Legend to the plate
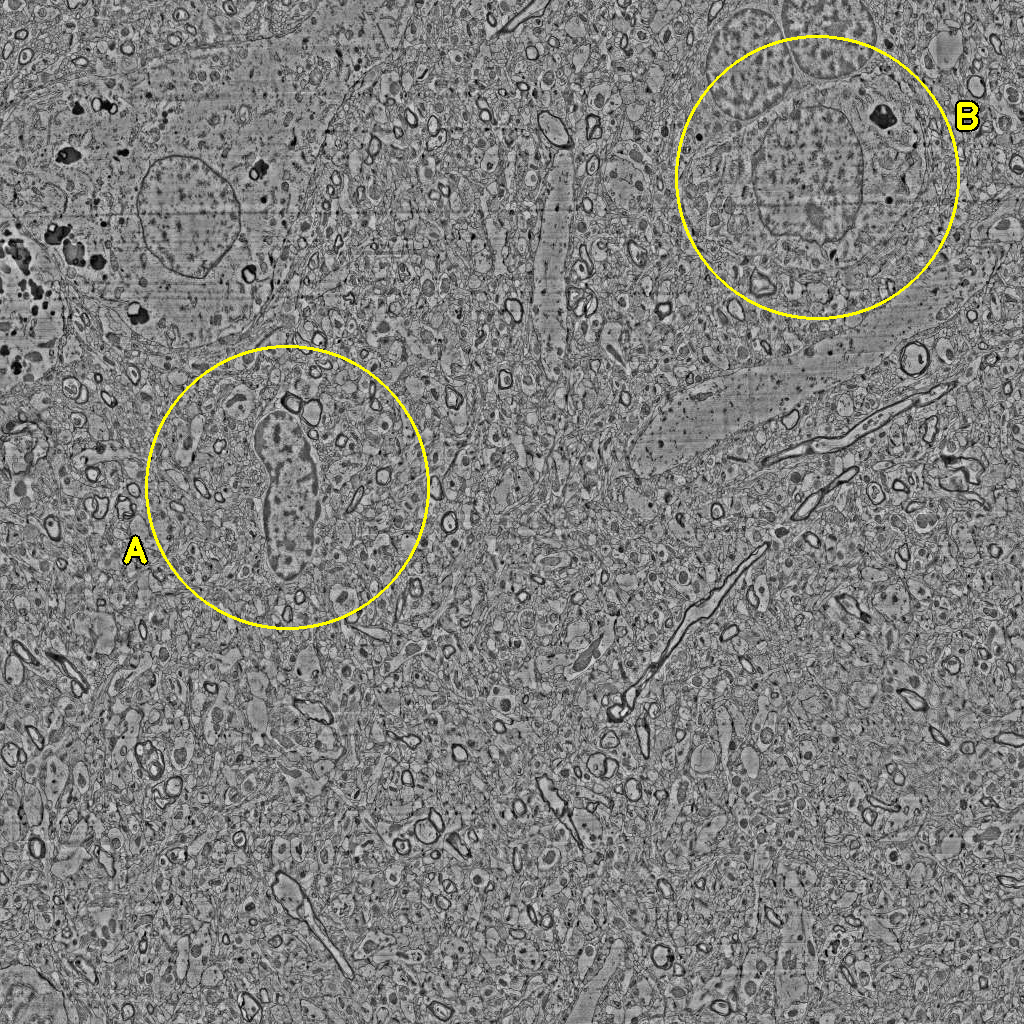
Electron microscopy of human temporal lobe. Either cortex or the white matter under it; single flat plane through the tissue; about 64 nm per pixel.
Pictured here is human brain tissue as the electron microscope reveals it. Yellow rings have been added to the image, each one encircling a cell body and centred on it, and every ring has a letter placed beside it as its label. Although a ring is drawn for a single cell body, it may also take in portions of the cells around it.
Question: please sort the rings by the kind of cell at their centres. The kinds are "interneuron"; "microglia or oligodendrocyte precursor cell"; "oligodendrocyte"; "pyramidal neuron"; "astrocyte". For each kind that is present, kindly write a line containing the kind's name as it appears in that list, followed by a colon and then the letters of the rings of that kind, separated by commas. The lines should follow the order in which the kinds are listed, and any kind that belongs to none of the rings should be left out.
interneuron: B
microglia or oligodendrocyte precursor cell: A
